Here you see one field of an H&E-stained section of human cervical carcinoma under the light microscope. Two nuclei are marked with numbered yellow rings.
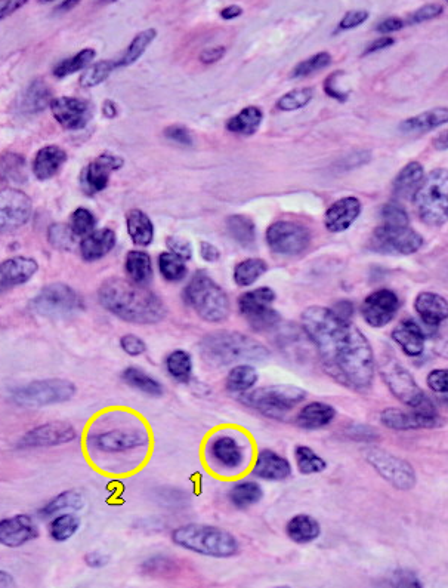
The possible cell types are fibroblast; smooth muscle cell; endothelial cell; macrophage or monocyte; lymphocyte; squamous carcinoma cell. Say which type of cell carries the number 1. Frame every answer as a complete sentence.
Cell 1 should be recorded as a lymphocyte.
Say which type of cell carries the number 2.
The cell whose nucleus carries the number 2 is a smooth muscle cell.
